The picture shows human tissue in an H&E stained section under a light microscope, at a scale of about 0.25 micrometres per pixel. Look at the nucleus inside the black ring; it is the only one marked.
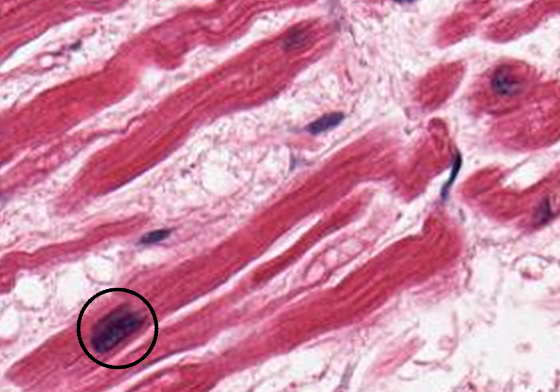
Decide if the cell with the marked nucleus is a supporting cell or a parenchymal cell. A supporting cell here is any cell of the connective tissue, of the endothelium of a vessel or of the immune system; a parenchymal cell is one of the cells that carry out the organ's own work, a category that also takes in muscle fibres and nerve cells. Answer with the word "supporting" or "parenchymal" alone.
parenchymal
